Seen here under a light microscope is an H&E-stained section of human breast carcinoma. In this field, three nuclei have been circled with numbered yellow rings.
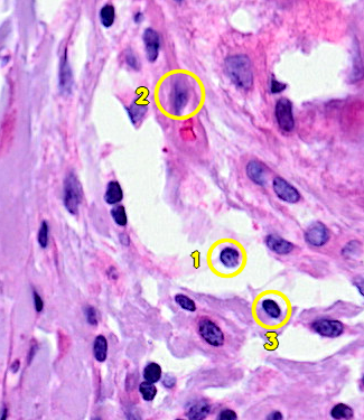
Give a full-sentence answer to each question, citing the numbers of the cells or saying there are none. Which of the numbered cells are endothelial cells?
Cell number 2 alone is an endothelial cell; the rest are not.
